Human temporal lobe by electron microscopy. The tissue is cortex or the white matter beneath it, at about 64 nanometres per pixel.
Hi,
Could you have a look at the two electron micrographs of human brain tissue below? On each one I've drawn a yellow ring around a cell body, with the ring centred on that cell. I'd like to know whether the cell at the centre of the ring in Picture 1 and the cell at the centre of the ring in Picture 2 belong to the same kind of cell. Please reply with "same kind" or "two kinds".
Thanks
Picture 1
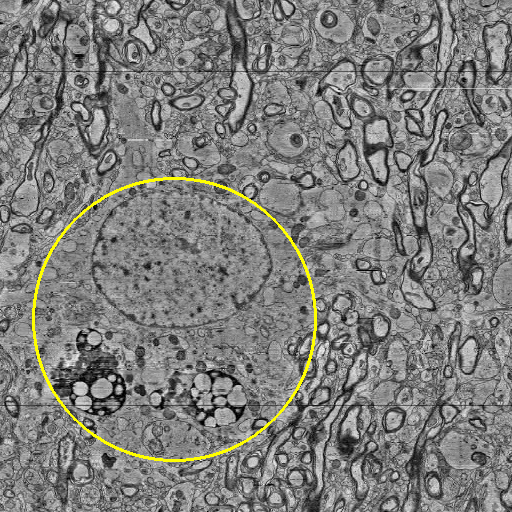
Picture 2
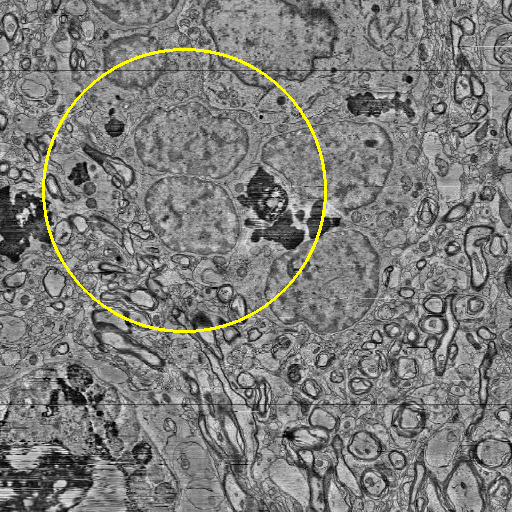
two kinds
